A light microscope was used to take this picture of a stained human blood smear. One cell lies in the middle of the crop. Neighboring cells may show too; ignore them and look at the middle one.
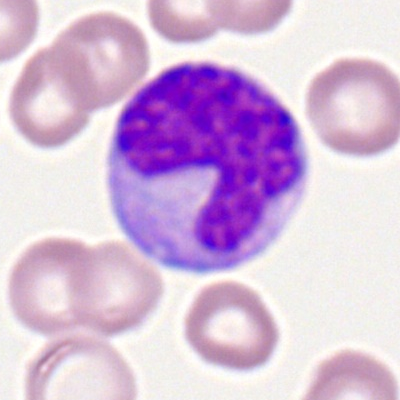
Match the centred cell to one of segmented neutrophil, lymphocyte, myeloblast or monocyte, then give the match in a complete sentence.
This crop is built around a monocyte at its centre.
